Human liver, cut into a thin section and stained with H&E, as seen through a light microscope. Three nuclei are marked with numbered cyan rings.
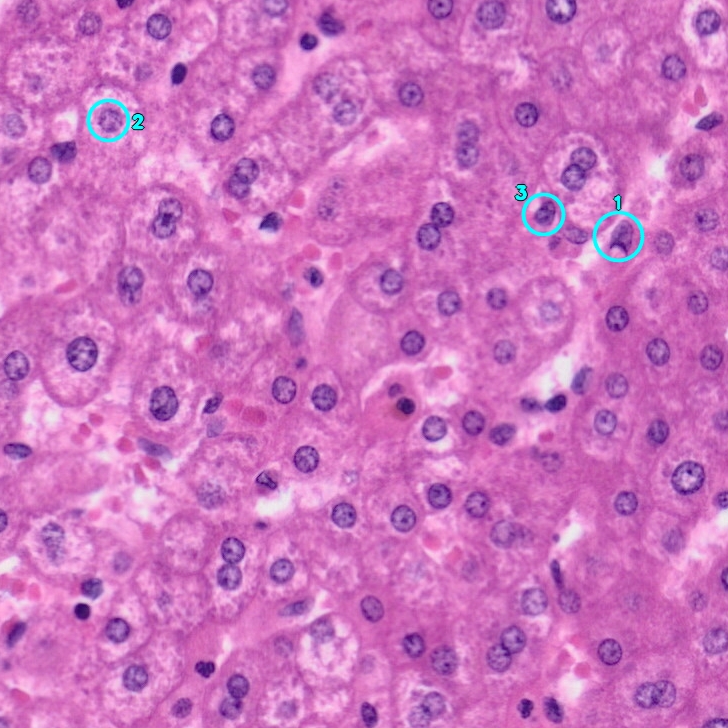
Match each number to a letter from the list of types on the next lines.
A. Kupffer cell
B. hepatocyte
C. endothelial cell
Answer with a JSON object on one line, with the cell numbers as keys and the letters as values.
{"1": "A", "2": "B", "3": "A"}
